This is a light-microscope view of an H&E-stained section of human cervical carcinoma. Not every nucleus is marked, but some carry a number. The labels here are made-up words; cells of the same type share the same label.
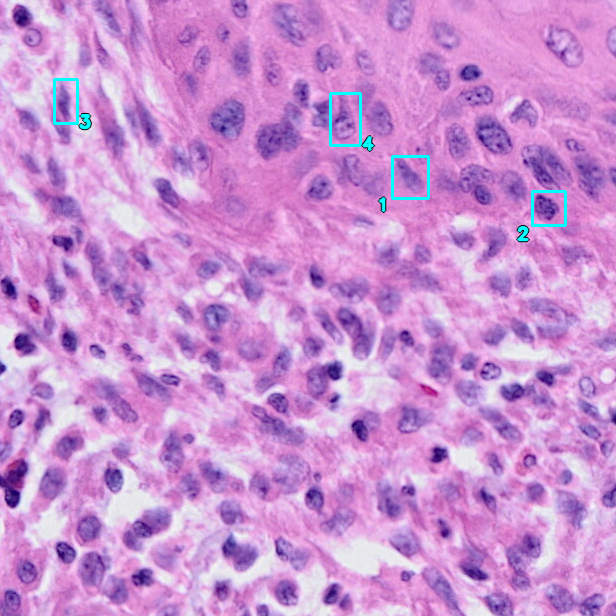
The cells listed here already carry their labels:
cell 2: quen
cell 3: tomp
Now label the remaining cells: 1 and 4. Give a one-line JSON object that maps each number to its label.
{"1": "quen", "4": "quen"}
